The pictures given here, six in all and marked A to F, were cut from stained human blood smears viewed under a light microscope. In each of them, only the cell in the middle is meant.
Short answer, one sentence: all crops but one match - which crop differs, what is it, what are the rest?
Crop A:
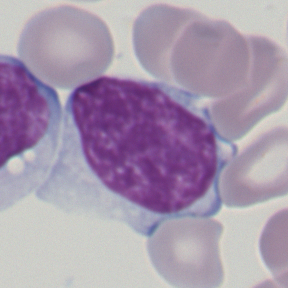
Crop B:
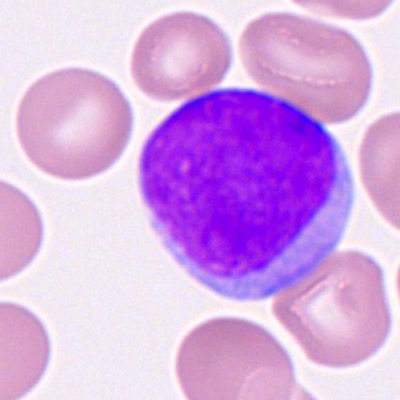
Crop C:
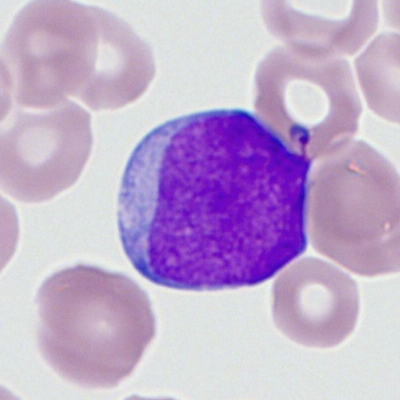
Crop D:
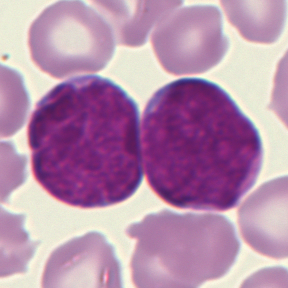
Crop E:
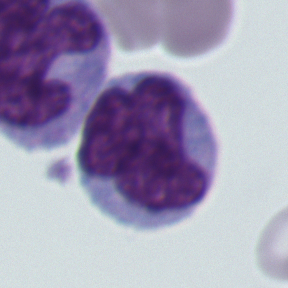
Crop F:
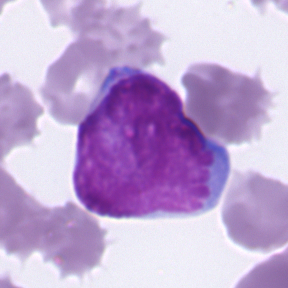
Crop E presents a monocyte, while blasts are presented by all other crops.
